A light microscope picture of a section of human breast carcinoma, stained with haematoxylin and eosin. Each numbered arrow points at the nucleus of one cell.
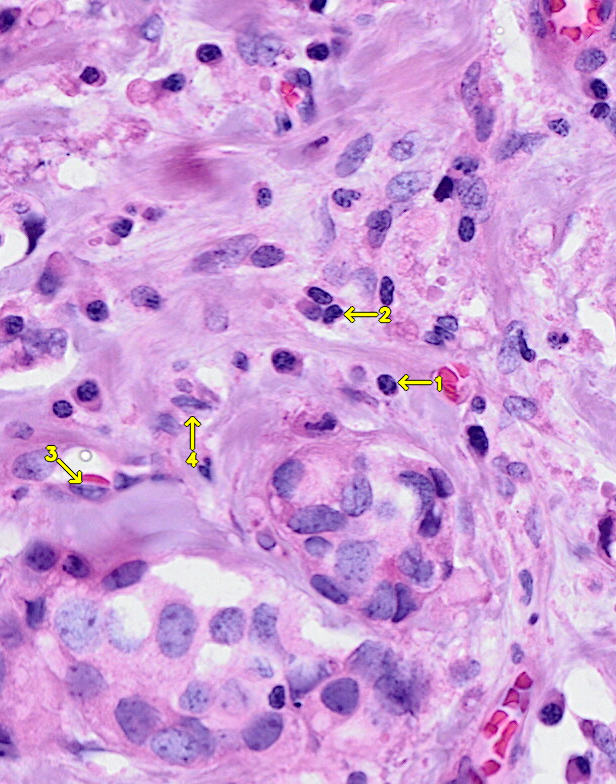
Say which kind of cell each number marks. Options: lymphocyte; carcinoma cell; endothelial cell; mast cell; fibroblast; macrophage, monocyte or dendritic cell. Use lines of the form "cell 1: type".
cell 1: lymphocyte
cell 2: lymphocyte
cell 3: endothelial cell
cell 4: fibroblast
